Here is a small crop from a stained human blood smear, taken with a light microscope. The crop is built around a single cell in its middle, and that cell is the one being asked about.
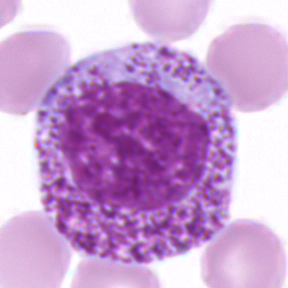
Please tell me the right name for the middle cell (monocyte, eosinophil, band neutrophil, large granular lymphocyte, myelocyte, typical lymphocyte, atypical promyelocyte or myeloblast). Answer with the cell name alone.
myelocyte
